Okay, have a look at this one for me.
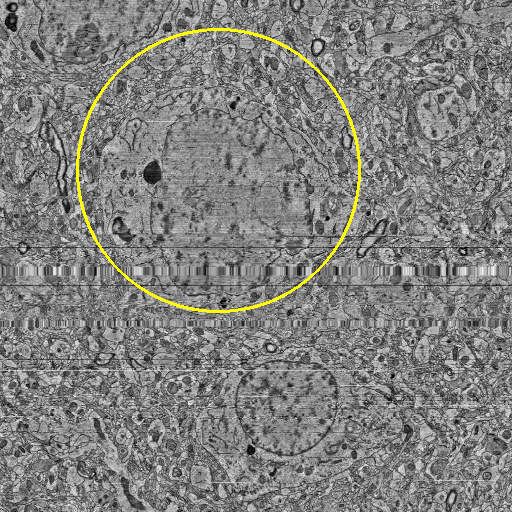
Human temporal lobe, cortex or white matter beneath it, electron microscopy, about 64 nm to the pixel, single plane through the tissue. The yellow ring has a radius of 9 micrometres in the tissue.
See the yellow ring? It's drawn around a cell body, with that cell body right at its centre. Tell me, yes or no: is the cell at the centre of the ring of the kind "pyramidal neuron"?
Yes, it is of that kind.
